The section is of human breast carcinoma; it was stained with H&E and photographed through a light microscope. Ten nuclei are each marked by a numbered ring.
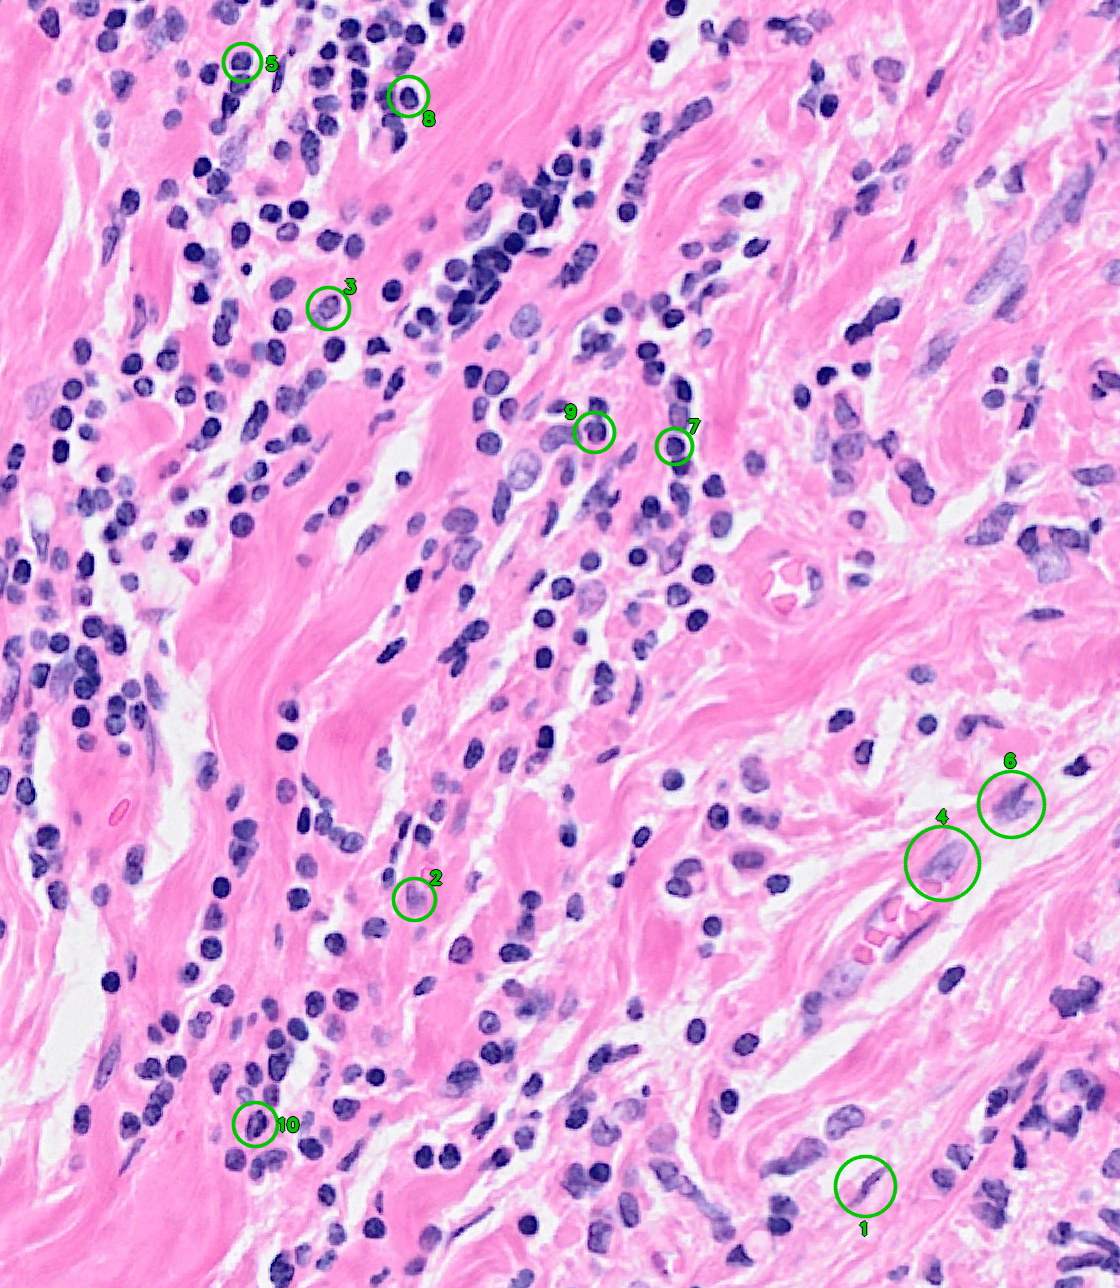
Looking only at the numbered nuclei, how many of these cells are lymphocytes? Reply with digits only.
6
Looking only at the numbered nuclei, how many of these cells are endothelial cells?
2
